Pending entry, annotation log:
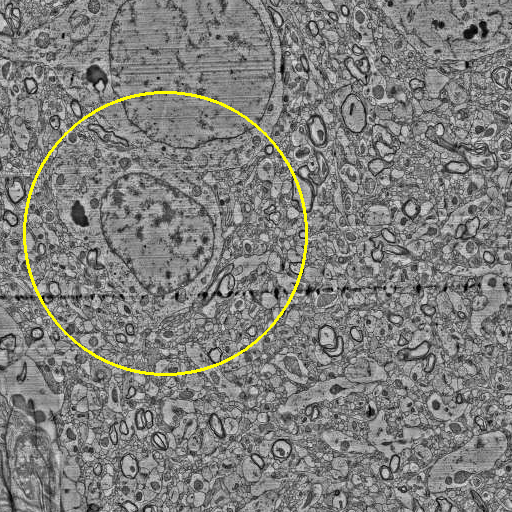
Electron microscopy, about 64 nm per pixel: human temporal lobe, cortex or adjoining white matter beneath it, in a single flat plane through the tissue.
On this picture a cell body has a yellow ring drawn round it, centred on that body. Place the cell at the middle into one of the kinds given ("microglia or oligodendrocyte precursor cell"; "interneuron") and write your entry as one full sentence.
The cell body at the middle of the yellow ring belongs to an interneuron.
